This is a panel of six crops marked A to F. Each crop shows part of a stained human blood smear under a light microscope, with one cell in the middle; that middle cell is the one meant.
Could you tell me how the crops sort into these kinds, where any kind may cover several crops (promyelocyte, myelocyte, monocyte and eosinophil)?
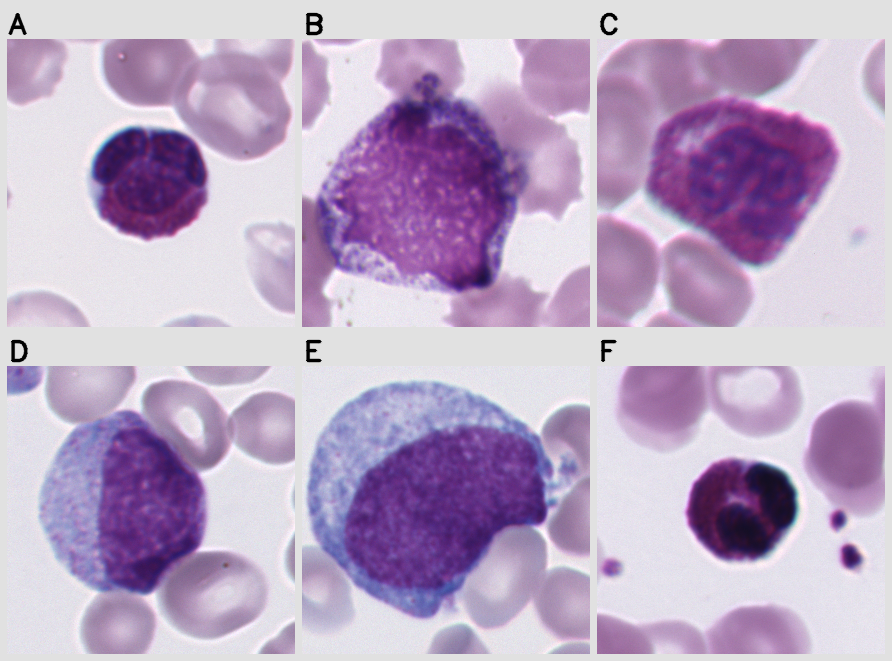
A: eosinophil
B: promyelocyte
C: eosinophil
D: promyelocyte
E: promyelocyte
F: eosinophil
